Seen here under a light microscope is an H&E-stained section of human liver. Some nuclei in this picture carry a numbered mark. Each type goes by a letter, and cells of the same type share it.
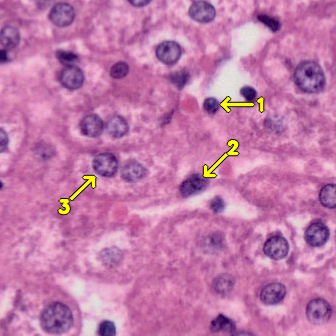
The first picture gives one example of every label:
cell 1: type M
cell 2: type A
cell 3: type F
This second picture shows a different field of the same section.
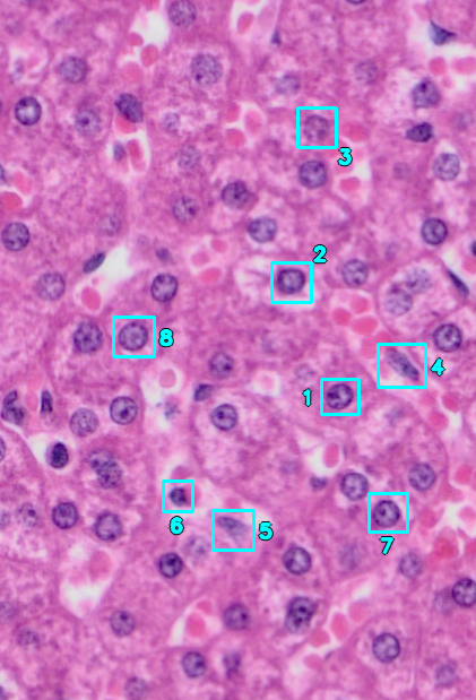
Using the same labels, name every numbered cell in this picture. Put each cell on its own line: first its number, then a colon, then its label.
1: type F
2: type F
3: type F
4: type A
5: type A
6: type M
7: type F
8: type F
